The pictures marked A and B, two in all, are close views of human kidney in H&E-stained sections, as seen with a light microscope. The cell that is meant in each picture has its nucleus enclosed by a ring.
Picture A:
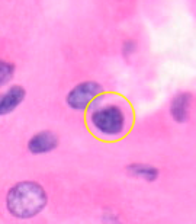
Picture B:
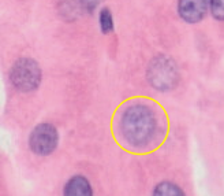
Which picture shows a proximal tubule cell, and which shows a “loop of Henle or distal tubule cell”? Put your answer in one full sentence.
It is picture A that shows a “loop of Henle or distal tubule cell”, and picture B that shows a proximal tubule cell.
